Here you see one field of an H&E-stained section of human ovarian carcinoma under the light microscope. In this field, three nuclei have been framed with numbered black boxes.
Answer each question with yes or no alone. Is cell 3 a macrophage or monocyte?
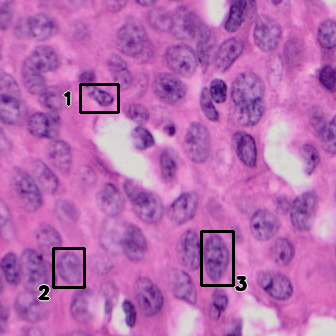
no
